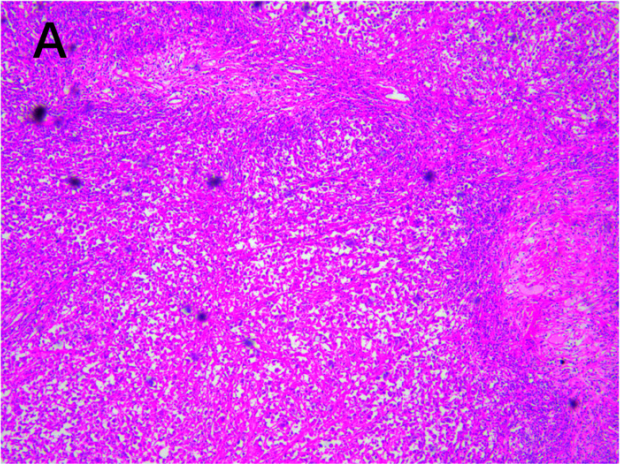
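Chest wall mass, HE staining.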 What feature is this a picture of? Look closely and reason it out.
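Bands of pink, streaming fibrous tissue cross the field, most densely at the right. The fibrous bands divide sheets of loosely arranged cells. So: fibrous septum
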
